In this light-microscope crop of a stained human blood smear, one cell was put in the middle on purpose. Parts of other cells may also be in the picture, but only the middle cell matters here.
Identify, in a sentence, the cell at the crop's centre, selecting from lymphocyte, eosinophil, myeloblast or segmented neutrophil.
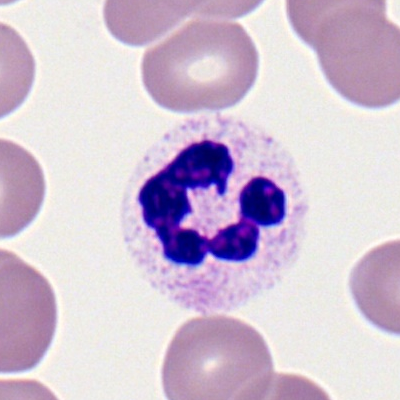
In the crop, the cell of interest at the centre is a segmented neutrophil.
